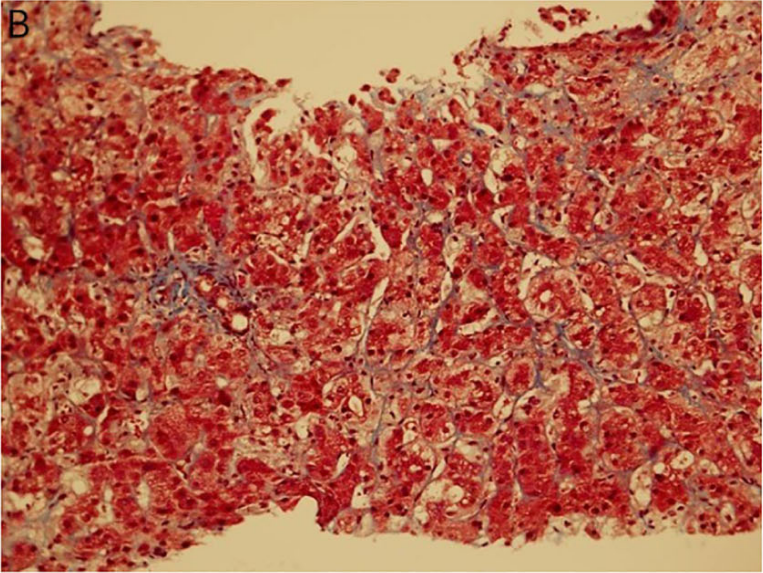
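A liver biopsy core in which hepatocytes stain deep red and form cords and rounded groups, many with pale, vacuolated cytoplasm. Thin blue collagen strands run along the spaces between the hepatocyte cords, outlining them in a delicate network.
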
